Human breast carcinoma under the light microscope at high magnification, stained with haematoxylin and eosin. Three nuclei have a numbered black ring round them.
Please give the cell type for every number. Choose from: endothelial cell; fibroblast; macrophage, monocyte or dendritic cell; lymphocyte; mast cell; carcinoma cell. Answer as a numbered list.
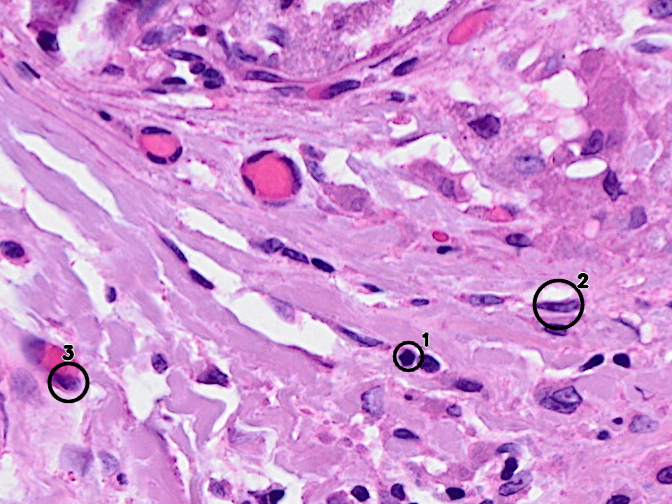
1. lymphocyte
2. fibroblast
3. endothelial cell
